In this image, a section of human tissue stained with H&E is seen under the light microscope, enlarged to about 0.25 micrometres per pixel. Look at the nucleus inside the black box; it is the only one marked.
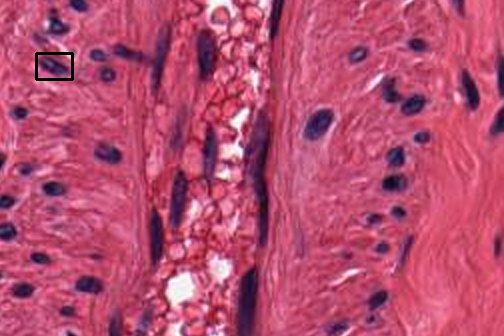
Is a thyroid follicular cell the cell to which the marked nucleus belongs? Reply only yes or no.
no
